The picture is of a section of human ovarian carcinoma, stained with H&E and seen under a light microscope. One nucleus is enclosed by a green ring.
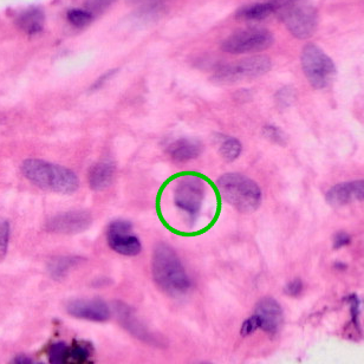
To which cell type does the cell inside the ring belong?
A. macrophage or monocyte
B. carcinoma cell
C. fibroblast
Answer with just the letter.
C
